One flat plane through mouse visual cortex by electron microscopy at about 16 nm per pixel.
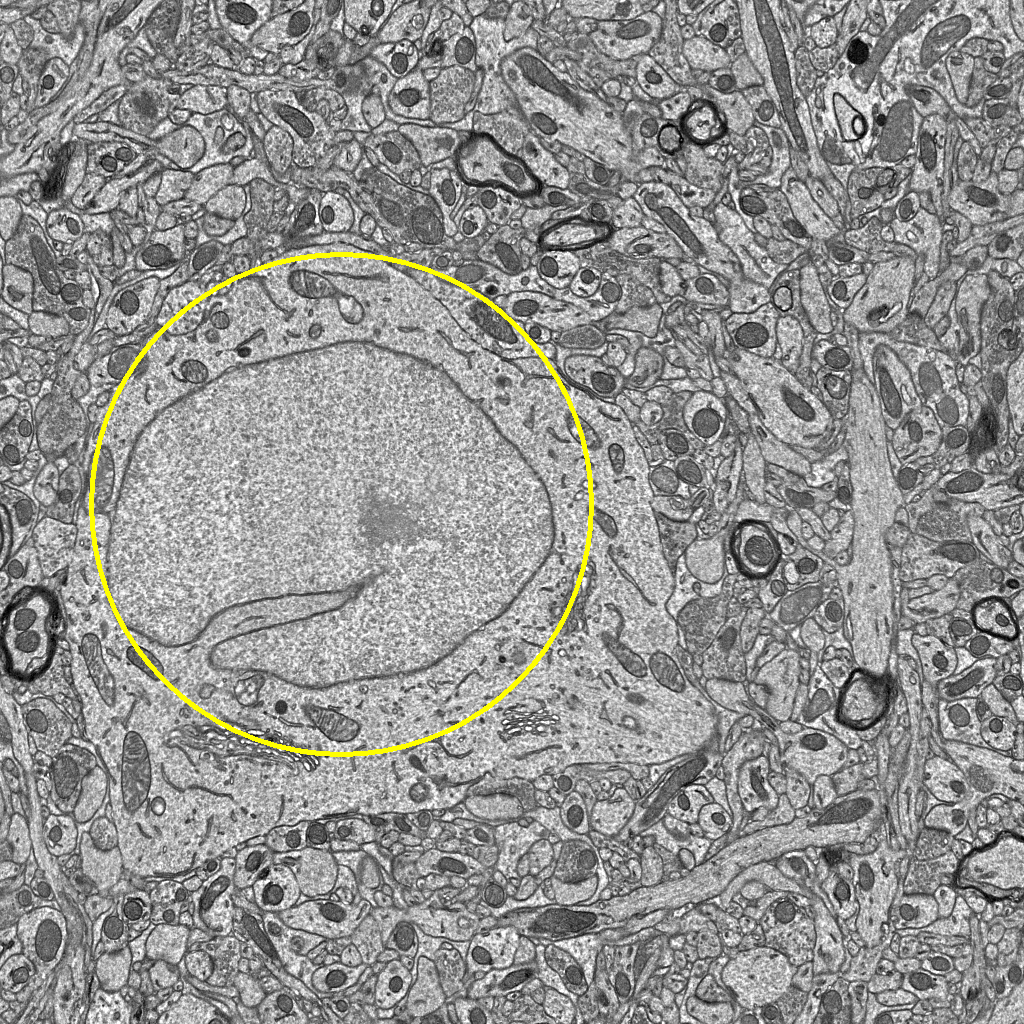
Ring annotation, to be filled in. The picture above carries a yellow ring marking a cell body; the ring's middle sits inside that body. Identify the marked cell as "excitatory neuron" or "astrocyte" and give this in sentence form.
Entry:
The cell at the middle of the ring is an excitatory neuron.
